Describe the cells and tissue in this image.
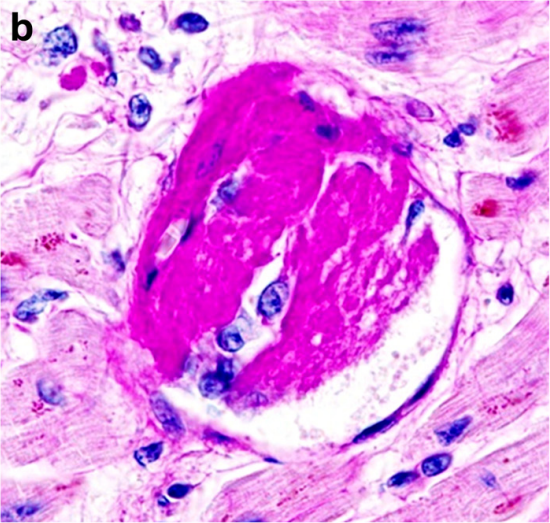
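Here a small vessel in heart muscle is seen, its lumen packed with a thrombus that takes a strong magenta colour. The mass is dense, somewhat fibrillar at its edges, and pulls away from the vessel wall leaving a pale crescent-shaped gap. A few oval nuclei lie within and along the edge of the mass, and flattened nuclei outline the vessel wall. Around it the pale pink muscle fibres show faint striations, with scattered nuclei in the loose tissue between them.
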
